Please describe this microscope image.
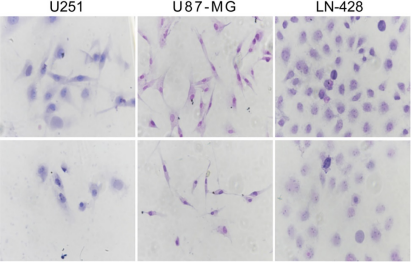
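In some fields the cells are rounded to polygonal and lie close together. In others they are spindle-shaped or star-shaped, with long thin processes running out from the cell body. The cells in the bottom row look sparser and paler in several fields than those in the top row.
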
